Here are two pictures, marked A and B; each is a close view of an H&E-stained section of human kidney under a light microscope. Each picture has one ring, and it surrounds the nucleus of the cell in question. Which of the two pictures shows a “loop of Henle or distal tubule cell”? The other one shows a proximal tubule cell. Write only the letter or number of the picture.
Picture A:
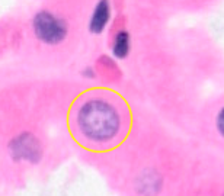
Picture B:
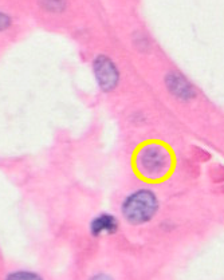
B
